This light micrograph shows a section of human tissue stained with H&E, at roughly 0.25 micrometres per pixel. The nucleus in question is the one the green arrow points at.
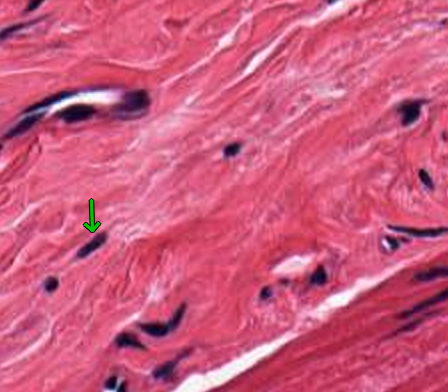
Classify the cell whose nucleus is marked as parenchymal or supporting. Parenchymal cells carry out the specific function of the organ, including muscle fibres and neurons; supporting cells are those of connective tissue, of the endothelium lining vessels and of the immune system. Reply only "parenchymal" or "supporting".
supporting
